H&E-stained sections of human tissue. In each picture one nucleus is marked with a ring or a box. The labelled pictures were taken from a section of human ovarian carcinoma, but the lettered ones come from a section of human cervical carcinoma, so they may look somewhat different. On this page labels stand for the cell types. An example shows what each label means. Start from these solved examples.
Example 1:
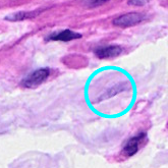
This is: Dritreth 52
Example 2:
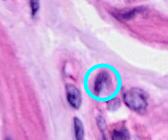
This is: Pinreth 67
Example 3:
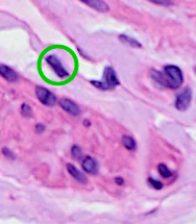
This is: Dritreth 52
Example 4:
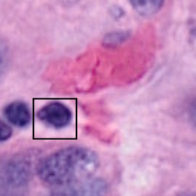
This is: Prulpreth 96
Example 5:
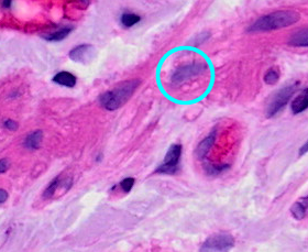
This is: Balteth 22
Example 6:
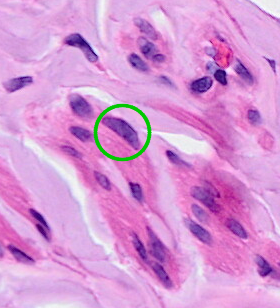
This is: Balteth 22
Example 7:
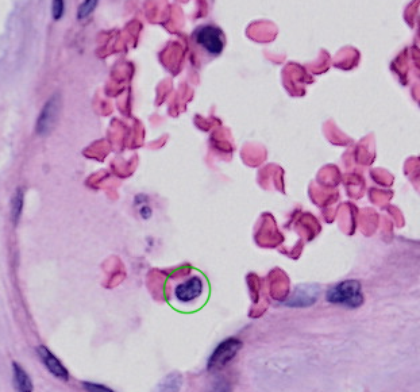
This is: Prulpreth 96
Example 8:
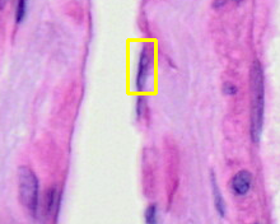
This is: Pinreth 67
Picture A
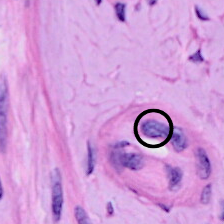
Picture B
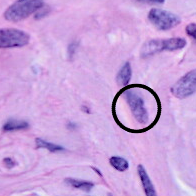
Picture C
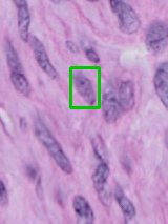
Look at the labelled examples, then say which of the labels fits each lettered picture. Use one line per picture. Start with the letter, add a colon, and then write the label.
A: Pinreth 67
B: Dritreth 52
C: Balteth 22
